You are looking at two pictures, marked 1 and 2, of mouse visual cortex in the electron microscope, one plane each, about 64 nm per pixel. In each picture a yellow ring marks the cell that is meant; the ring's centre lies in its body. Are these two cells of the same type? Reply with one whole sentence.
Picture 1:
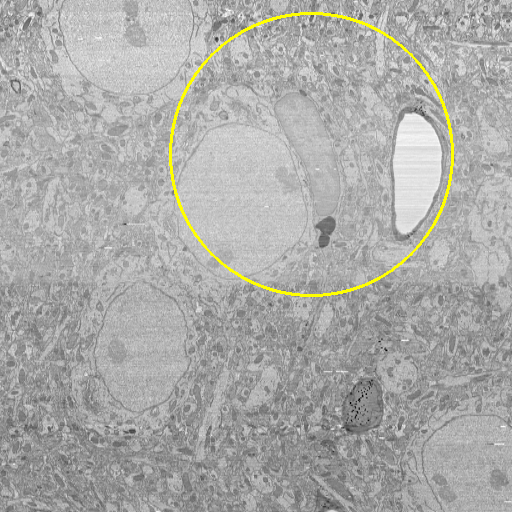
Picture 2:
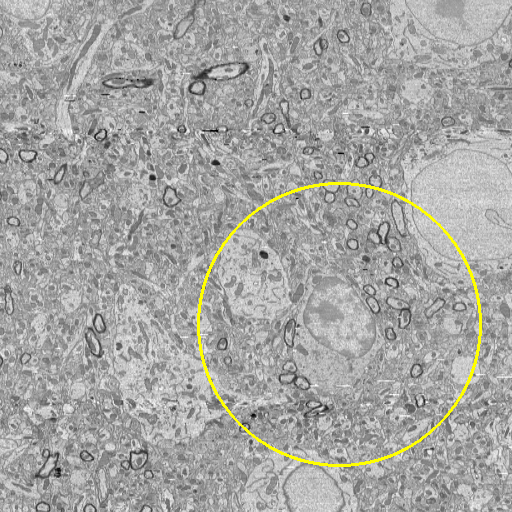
No, the types are not the same, since picture 1 shows a microglial cell and picture 2 an oligodendrocyte.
